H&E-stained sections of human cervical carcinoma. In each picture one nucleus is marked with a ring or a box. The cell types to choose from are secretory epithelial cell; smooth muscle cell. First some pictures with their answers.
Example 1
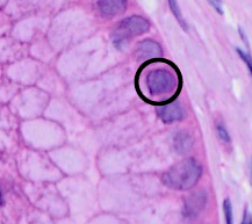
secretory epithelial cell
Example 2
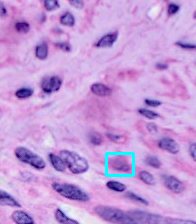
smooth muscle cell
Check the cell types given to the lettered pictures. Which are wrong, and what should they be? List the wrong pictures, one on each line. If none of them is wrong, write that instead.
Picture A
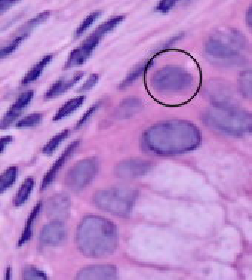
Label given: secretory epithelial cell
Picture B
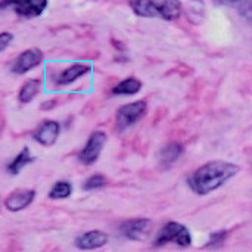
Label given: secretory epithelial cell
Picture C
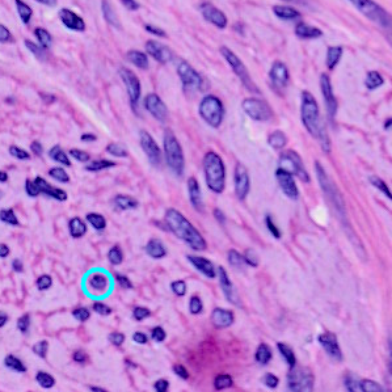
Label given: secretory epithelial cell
B: not secretory epithelial cell but smooth muscle cell
C: not secretory epithelial cell but smooth muscle cell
